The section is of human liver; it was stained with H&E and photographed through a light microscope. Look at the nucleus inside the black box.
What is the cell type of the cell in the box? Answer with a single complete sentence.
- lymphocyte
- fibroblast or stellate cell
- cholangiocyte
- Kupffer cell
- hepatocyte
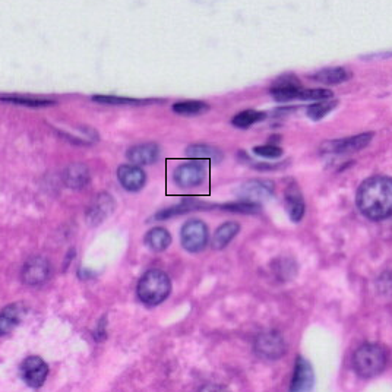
In this section of tissue, the cell in the box is a cholangiocyte.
